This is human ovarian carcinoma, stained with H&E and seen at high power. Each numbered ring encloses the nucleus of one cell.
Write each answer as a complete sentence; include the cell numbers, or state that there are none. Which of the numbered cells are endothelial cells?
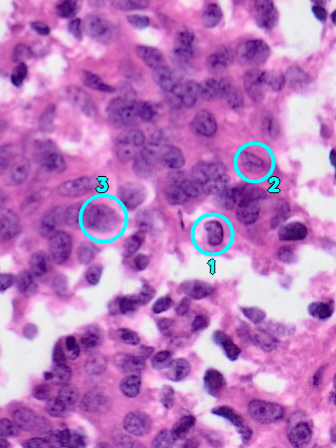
The only cell among those numbered to be an endothelial cell is number 2.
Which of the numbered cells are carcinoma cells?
Cell 3 represents a carcinoma cell, and no other numbered cell does.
